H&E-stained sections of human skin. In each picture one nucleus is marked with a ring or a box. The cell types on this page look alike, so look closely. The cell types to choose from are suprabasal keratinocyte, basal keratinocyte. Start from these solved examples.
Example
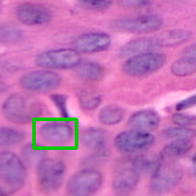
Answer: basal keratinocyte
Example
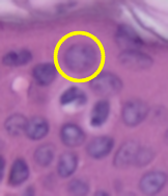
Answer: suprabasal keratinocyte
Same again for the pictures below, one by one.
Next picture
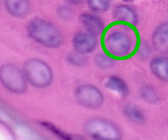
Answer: suprabasal keratinocyte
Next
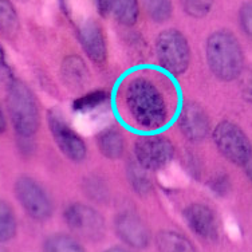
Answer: basal keratinocyte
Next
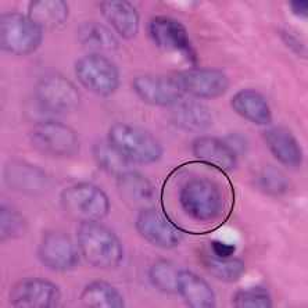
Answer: basal keratinocyte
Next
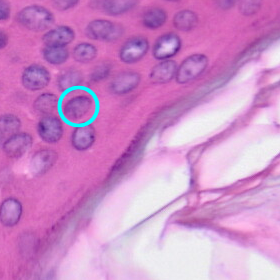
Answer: suprabasal keratinocyte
